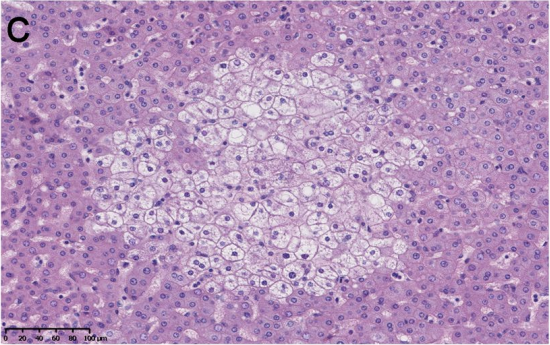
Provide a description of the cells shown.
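Liver parenchyma with a focus of altered hepatocytes showing a clear cell appearance. In the centre, a rounded group of enlarged hepatocytes has pale, almost empty-looking cytoplasm with sharply outlined cell membranes, giving a plant-cell-like look; their round nuclei sit centrally and some cells show small vacuoles. Around the focus, ordinary hepatocytes have pink, eosinophilic cytoplasm and round nuclei arranged in plates separated by narrow sinusoids with flattened lining cells. The boundary between the pale focus and the pink surrounding parenchyma is fairly well defined, without a capsule.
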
